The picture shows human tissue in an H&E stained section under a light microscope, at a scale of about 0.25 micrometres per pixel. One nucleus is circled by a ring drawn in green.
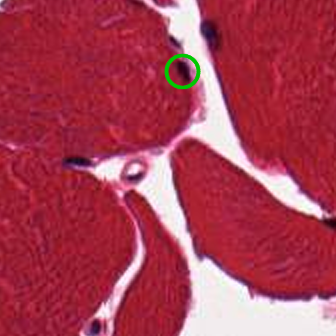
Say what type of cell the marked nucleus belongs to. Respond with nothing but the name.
skeletal muscle fibre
